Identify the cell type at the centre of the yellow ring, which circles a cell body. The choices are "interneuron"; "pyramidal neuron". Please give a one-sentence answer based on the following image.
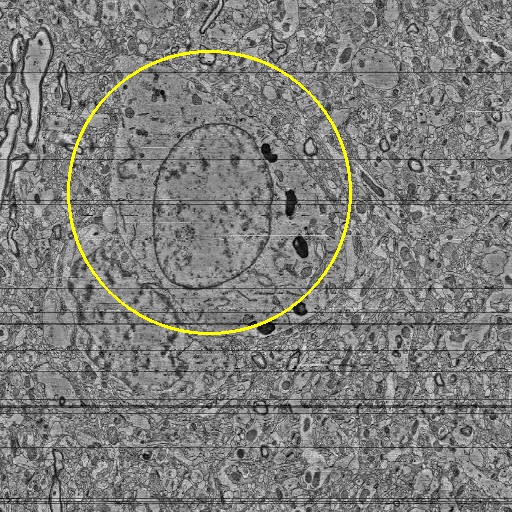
The cell marked by the ring is a pyramidal neuron.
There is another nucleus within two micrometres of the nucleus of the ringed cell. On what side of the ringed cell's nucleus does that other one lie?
The other nucleus sits to the lower left of it.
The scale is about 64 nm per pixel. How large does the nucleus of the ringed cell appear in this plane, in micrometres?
In this plane, approximately 11 by 8 micrometers.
